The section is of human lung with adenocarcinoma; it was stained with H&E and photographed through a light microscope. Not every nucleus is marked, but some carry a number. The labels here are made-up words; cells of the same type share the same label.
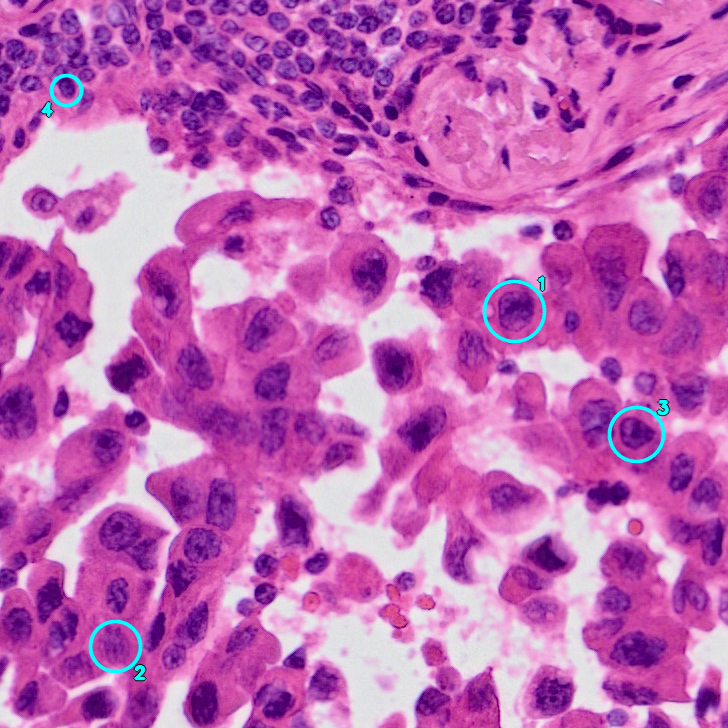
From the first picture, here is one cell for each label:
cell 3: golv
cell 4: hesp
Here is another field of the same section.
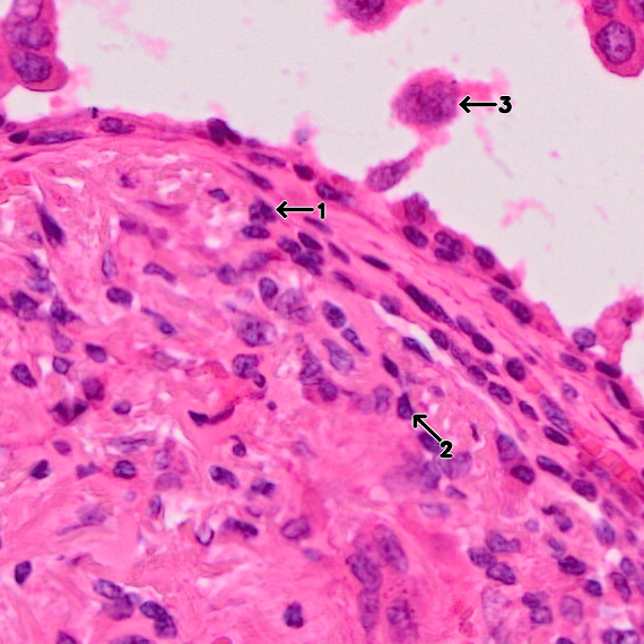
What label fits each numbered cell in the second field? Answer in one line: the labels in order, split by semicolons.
hesp; hesp; golv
